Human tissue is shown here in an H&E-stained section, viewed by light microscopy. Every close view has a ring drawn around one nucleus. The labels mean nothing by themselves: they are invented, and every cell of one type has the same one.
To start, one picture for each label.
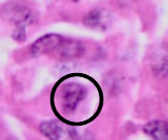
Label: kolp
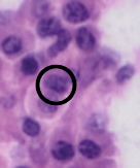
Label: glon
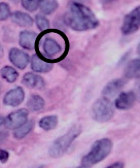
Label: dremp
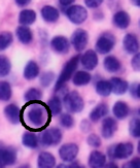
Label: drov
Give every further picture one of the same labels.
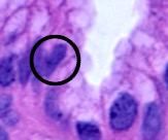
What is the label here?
dremp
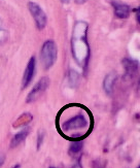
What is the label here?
glon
